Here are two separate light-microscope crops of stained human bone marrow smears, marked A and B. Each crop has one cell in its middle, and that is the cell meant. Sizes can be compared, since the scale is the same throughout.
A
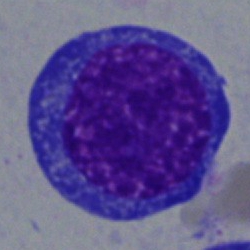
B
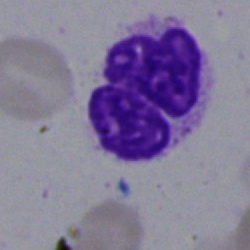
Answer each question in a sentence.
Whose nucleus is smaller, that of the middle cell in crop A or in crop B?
It is the nucleus in crop B; the one in crop A has about 1.5 times its area.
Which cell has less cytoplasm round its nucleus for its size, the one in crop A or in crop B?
It is the cell in crop B that is filled more by its nucleus.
